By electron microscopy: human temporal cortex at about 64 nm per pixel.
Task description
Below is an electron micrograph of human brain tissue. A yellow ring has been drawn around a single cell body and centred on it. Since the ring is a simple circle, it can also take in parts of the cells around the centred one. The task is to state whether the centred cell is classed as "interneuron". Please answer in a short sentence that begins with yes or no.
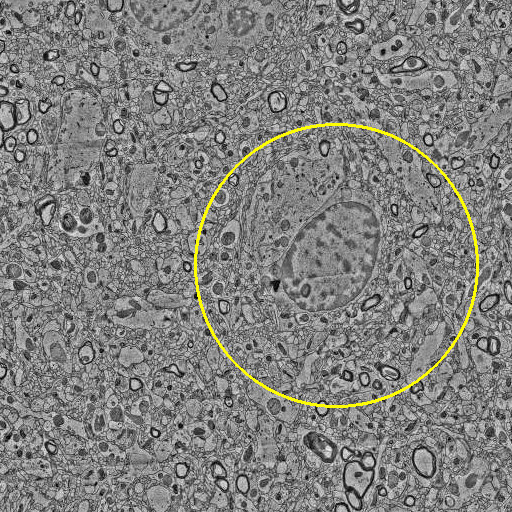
No, the centred cell is classed otherwise.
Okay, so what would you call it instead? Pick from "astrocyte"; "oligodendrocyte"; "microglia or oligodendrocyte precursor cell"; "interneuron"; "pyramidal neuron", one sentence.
It is an oligodendrocyte at the centre of the ring.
